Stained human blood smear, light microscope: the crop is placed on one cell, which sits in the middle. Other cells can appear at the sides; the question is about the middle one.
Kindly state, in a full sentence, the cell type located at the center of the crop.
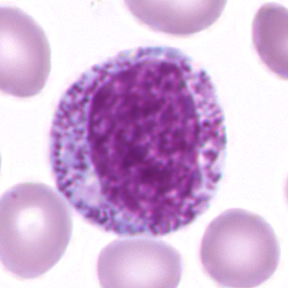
The cell of interest, in the center, is a myelocyte.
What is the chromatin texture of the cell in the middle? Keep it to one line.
The chromatin pattern here is coarse and clumped.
